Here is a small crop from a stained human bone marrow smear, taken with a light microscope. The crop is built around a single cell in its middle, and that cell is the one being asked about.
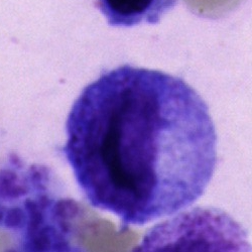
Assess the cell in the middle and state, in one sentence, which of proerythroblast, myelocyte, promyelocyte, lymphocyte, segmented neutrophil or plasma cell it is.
In this crop, the cell at the very middle is a promyelocyte.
